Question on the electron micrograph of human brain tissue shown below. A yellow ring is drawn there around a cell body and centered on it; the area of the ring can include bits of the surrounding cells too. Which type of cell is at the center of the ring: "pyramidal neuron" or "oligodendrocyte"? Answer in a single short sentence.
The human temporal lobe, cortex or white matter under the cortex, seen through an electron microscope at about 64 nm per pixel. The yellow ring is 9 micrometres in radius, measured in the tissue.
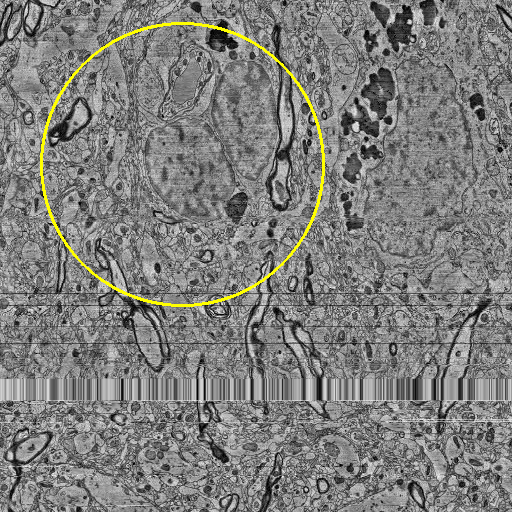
The ring is centered on an oligodendrocyte.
